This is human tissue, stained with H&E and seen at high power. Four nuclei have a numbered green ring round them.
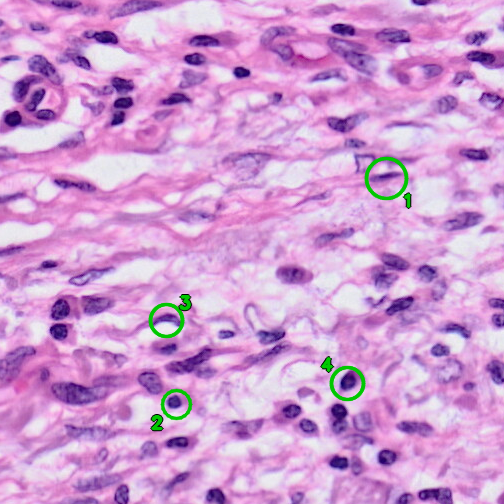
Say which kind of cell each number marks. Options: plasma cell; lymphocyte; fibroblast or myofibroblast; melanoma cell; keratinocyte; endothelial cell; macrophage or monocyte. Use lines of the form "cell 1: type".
cell 1: fibroblast or myofibroblast
cell 2: lymphocyte
cell 3: fibroblast or myofibroblast
cell 4: plasma cell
